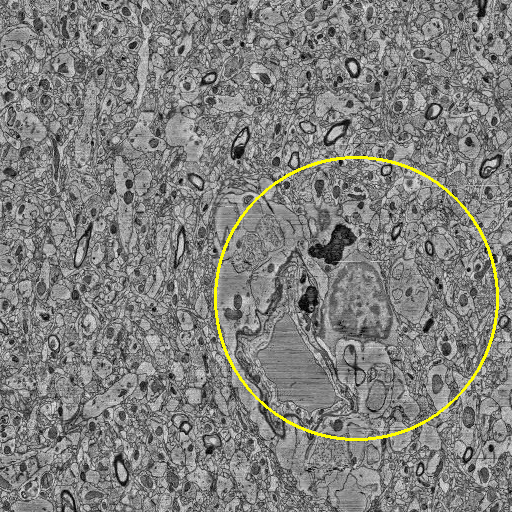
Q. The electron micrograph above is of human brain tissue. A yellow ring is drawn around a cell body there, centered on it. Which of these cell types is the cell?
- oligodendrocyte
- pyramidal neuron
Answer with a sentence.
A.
The cell under the ring's center is an oligodendrocyte.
